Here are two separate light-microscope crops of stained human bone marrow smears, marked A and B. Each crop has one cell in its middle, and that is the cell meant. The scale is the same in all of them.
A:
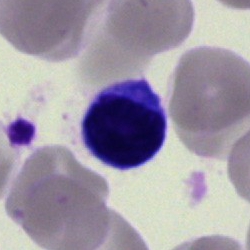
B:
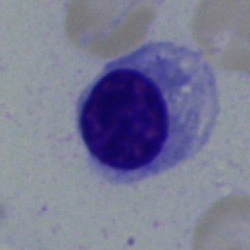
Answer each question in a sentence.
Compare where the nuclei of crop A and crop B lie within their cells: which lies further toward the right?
It is the nucleus in crop A that lies further toward the right of its cell.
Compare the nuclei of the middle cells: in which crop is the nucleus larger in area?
Larger is the nucleus in crop B, at roughly 1.5 times the area of the other.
